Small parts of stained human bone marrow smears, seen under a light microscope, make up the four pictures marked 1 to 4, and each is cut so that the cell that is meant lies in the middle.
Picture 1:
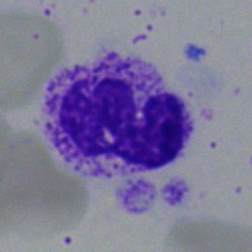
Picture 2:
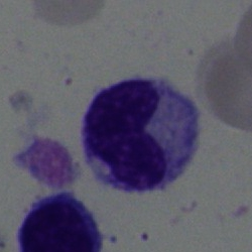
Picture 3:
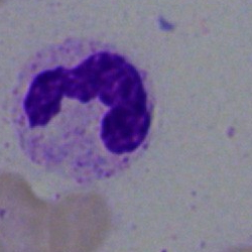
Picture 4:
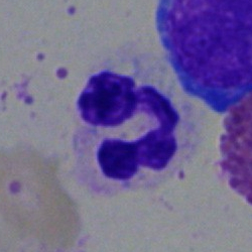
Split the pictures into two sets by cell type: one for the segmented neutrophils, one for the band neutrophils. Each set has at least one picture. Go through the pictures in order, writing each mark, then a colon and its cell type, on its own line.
1: segmented neutrophil
2: band neutrophil
3: segmented neutrophil
4: segmented neutrophil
